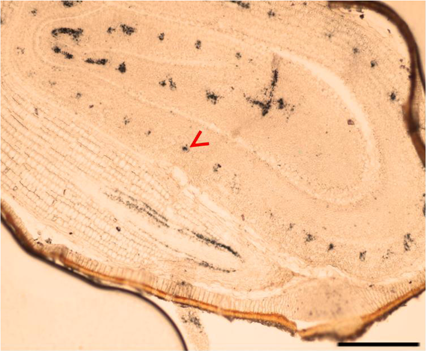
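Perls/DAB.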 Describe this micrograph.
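Seed section showing an embryo axis cut lengthwise and folded cotyledons cut across. The axis in the lower left is built of long parallel cell files. The cotyledons form curved, stacked bands of pale tissue. Small black spots and short black streaks are scattered through the cotyledon bands, some in rows.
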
